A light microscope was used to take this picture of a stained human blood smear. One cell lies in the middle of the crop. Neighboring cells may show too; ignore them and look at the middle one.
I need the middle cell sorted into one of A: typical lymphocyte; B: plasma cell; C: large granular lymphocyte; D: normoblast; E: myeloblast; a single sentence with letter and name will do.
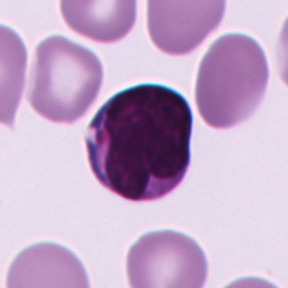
The cell in the middle is a typical lymphocyte, and that makes option A correct.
